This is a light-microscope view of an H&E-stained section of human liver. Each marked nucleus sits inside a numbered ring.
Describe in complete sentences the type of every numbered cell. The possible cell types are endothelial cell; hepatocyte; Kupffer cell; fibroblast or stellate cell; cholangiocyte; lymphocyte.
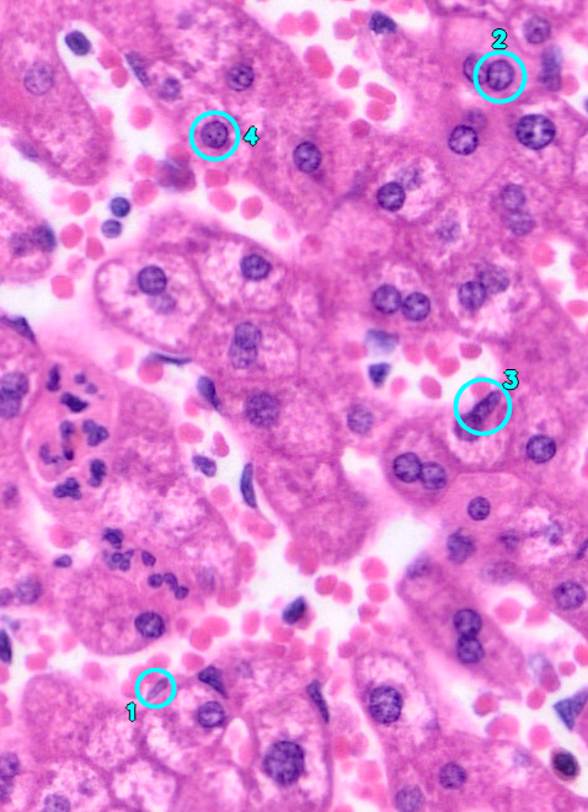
Cell 1 is an endothelial cell, cell 2 is a hepatocyte, cell 3 is a fibroblast or stellate cell and cell 4 is a hepatocyte.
